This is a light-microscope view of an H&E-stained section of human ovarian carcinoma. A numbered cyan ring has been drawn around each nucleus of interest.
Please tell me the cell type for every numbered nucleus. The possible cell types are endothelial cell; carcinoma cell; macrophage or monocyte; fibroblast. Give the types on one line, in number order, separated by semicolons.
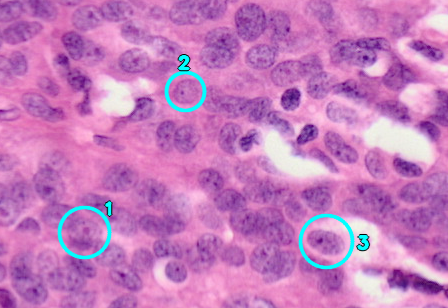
carcinoma cell; carcinoma cell; macrophage or monocyte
